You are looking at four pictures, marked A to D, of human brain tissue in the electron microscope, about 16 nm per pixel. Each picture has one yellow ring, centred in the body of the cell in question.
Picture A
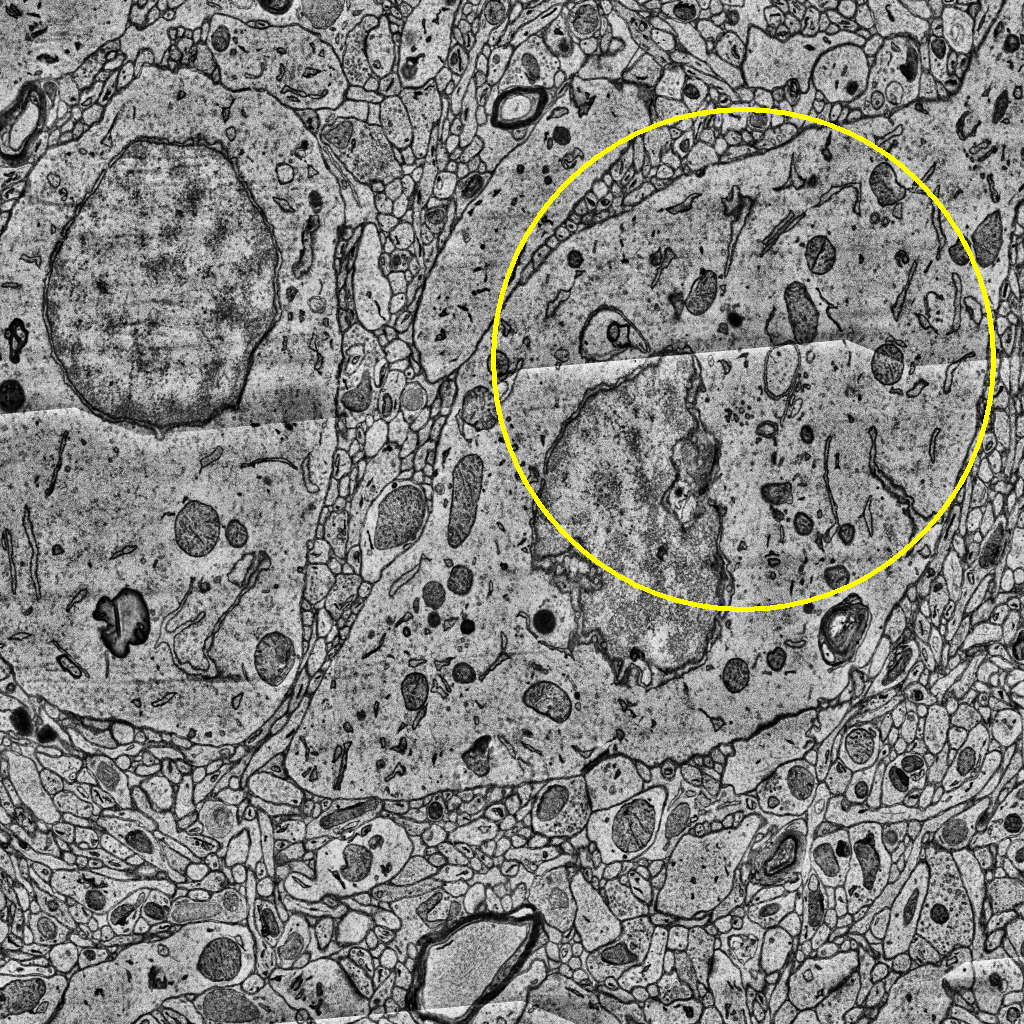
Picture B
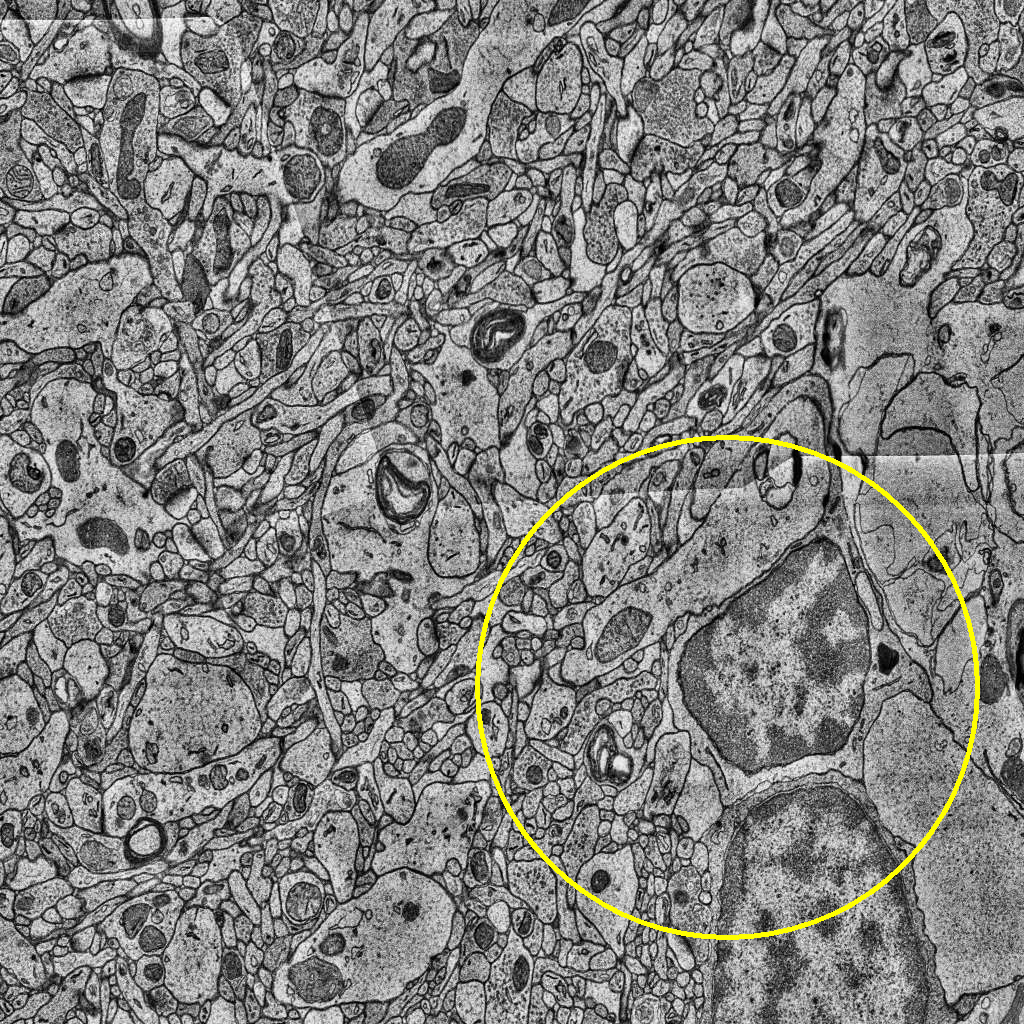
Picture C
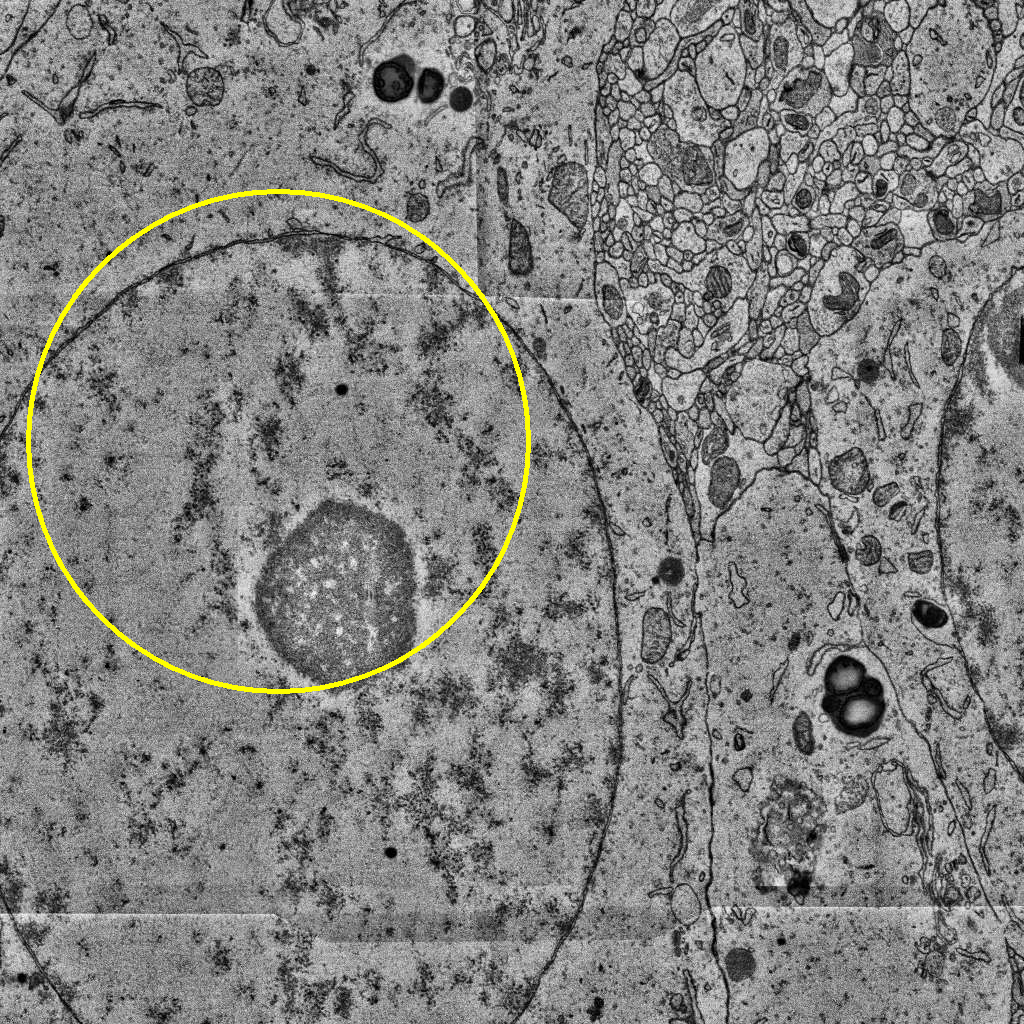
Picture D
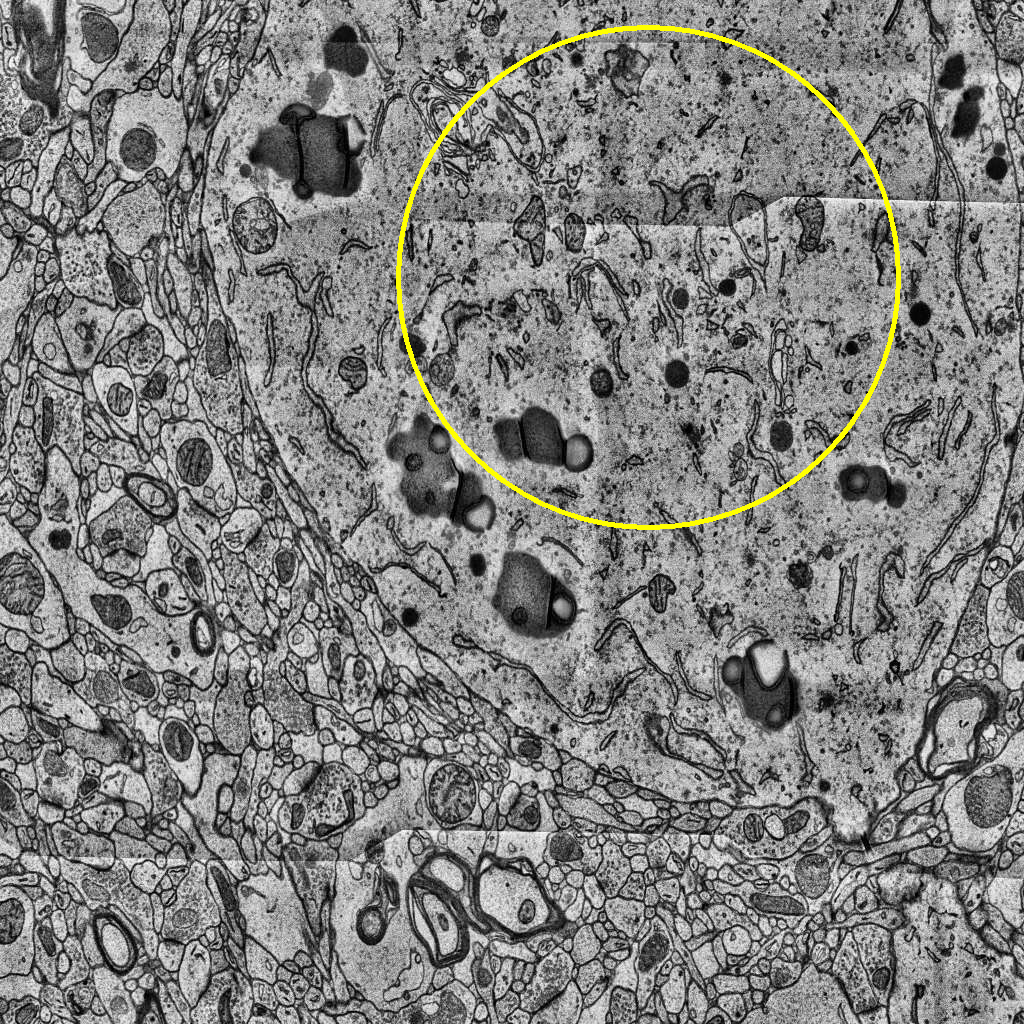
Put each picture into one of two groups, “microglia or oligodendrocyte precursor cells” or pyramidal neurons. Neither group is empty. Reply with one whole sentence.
Picture B shows a “microglia or oligodendrocyte precursor cell”, while pictures A, C and D show pyramidal neurons.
